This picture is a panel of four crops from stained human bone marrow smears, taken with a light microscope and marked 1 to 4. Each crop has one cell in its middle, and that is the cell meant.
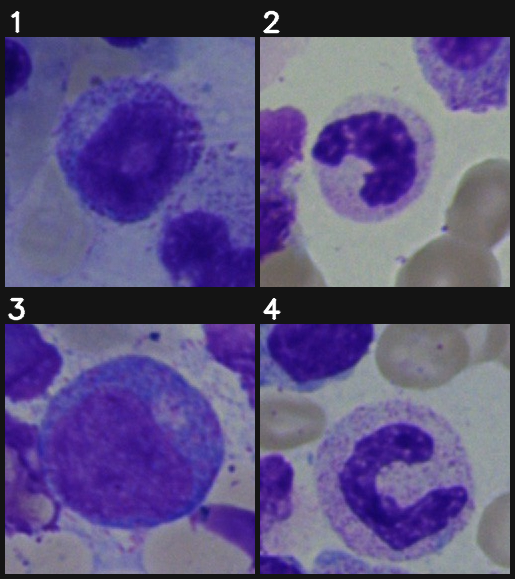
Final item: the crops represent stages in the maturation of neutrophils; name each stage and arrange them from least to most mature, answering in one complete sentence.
Least to most mature, the crops line up as crop 3 (a promyelocyte), crop 1 (a myelocyte), crop 4 (a band neutrophil) and crop 2 (a segmented neutrophil).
